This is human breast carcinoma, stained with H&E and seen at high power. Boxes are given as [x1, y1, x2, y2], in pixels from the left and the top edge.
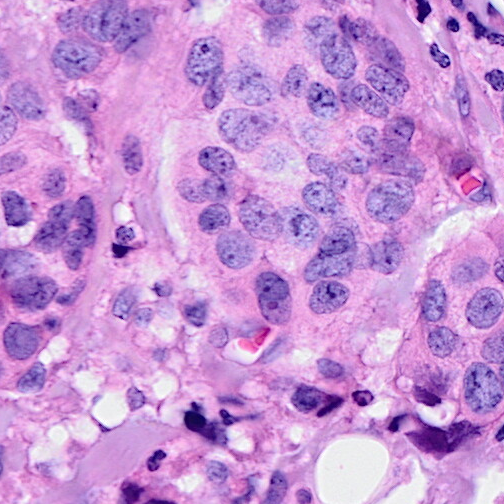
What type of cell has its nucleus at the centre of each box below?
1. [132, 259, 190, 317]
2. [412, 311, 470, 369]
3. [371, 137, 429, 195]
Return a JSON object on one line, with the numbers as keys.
{"1": "macrophage, monocyte or dendritic cell", "2": "carcinoma cell", "3": "carcinoma cell"}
